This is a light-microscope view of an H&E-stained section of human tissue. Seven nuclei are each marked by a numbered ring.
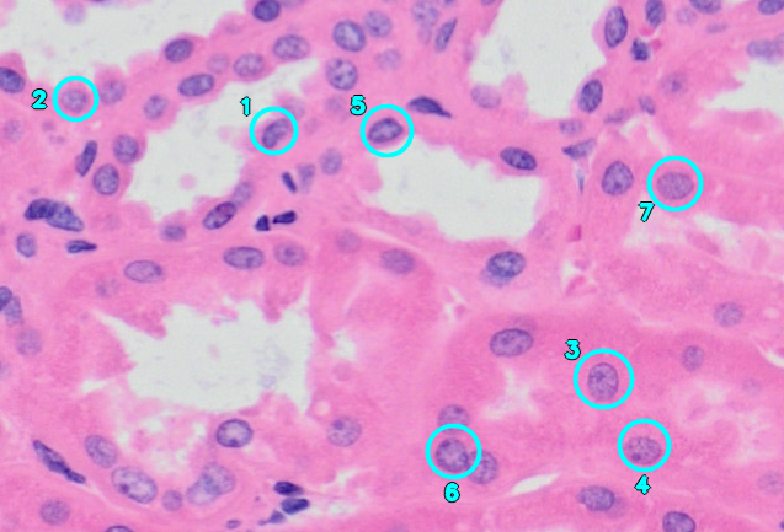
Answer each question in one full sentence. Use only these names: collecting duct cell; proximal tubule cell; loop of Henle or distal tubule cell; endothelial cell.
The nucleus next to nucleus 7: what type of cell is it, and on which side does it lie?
The nearest nucleus is that of a proximal tubule cell and lies to the left of nucleus 7.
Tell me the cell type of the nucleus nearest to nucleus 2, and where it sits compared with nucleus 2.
Just to the right of nucleus 2 lies the nearest nucleus, which belongs to a loop of Henle or distal tubule cell.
